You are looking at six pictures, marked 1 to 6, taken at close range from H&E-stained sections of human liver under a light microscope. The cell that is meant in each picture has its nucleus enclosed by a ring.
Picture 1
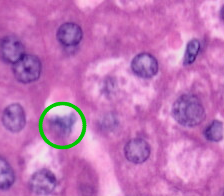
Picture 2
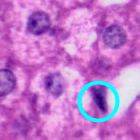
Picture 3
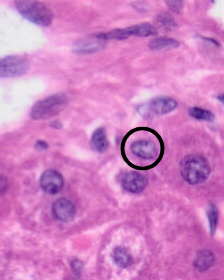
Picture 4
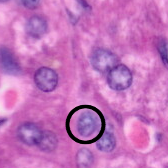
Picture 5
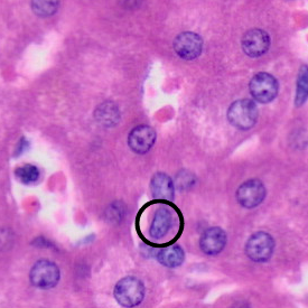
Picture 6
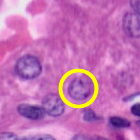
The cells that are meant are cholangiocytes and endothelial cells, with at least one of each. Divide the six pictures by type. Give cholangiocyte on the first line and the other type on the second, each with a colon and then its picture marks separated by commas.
cholangiocyte: 3, 4, 5, 6
endothelial cell: 1, 2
